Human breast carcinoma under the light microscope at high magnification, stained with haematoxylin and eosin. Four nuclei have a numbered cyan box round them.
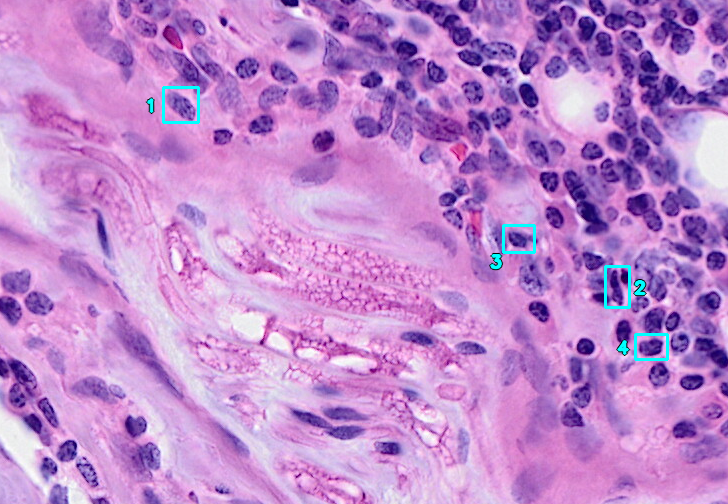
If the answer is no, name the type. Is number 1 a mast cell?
Yes.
